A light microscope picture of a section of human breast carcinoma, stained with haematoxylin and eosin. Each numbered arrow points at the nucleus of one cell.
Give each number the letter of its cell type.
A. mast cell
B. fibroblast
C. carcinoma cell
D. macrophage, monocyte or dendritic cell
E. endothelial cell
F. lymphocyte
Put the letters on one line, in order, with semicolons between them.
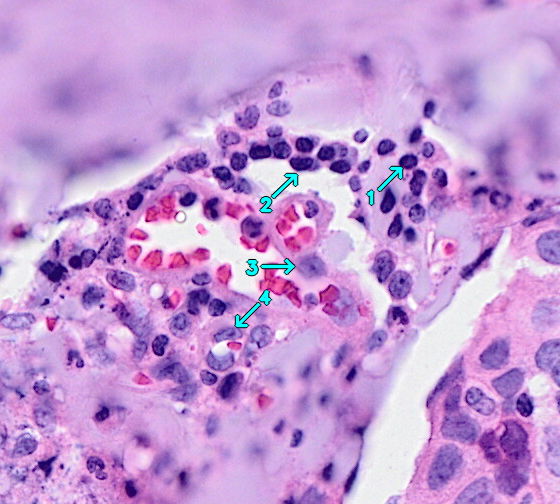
F; F; E; E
